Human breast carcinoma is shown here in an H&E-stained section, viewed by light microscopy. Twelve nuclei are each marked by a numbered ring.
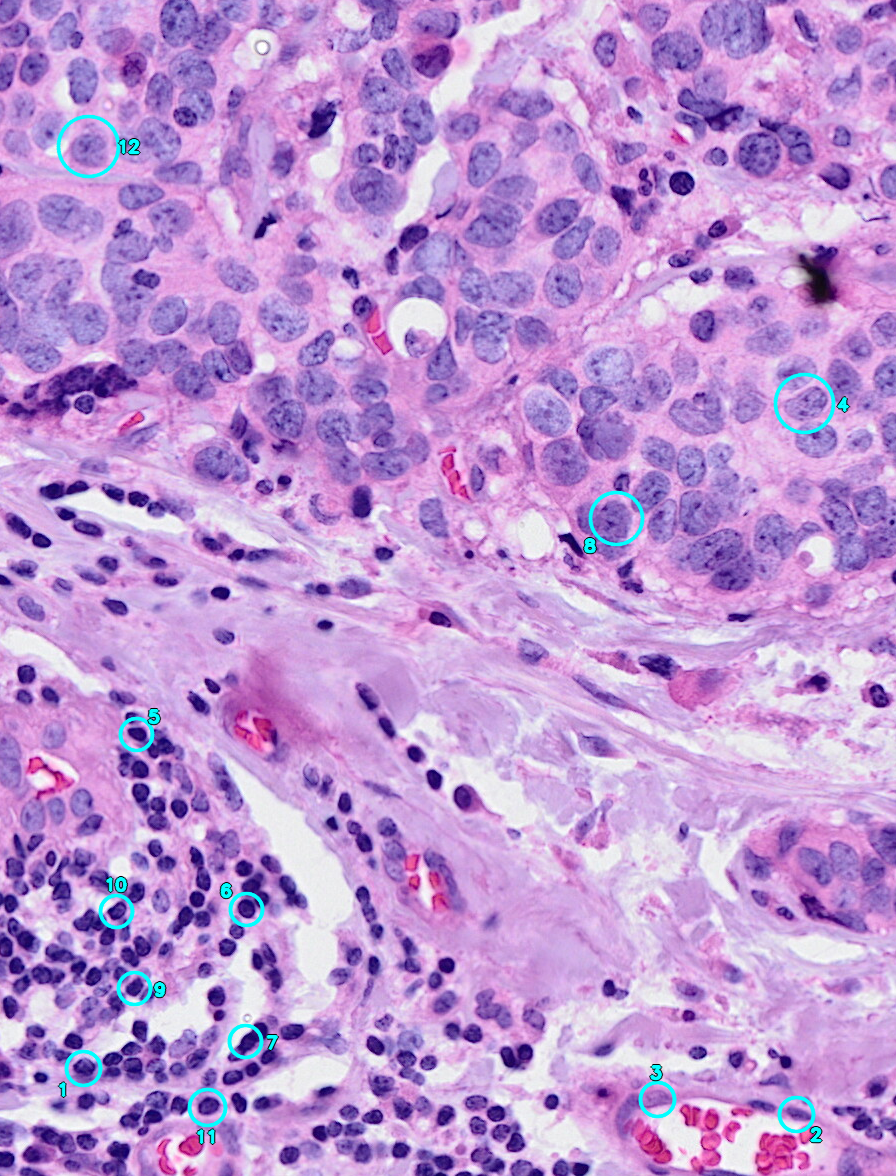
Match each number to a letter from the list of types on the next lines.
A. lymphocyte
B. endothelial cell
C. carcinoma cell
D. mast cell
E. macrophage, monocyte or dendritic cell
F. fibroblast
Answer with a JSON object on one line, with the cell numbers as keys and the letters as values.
{"1": "A", "2": "B", "3": "B", "4": "C", "5": "A", "6": "A", "7": "A", "8": "C", "9": "A", "10": "A", "11": "A", "12": "C"}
